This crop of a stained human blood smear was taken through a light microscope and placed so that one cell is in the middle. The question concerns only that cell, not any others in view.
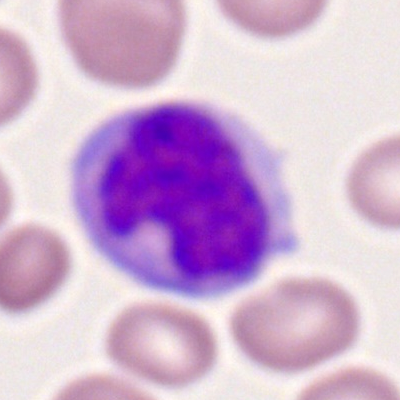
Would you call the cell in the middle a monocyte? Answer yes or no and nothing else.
yes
